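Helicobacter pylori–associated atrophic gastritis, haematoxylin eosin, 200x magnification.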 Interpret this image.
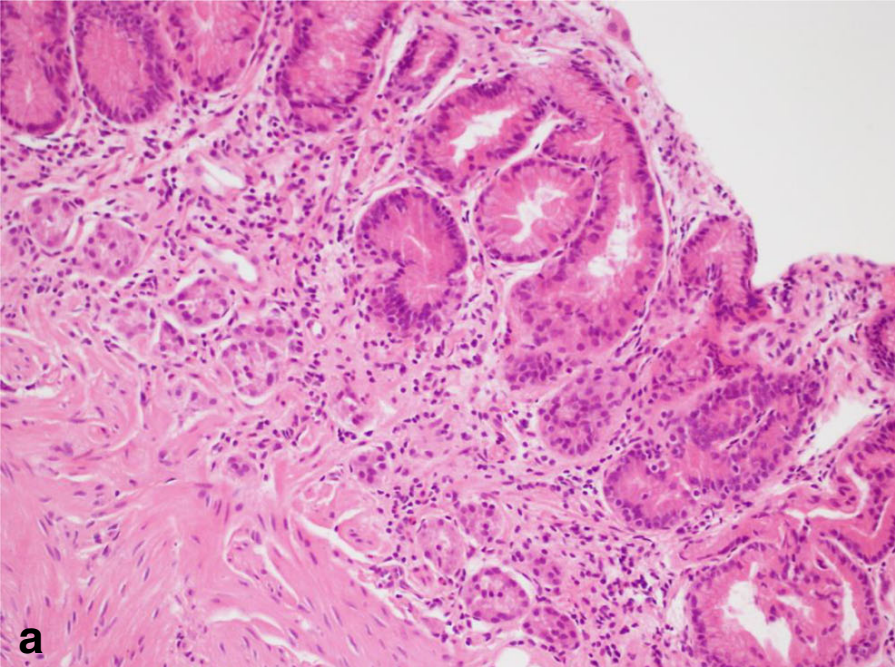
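This is gastric mucosa in which the oxyntic glands are completely lost. The remaining glands are lined by tall columnar cells with pale pink mucinous cytoplasm and small dark basal nuclei, some cut across and some lengthwise. Between them the lamina propria is crowded with small round inflammatory cells. Near the bottom left the mucosa meets bundles of pink smooth muscle, and no glands of granular pink parietal cells are to be found.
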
